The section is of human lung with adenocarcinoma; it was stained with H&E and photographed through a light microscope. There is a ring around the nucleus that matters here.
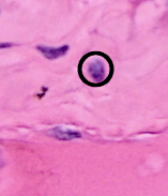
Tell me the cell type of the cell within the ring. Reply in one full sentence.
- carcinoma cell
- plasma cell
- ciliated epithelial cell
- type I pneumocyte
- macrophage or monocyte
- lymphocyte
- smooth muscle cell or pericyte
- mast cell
Right, so the cell within the ring is a mast cell, to answer that.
